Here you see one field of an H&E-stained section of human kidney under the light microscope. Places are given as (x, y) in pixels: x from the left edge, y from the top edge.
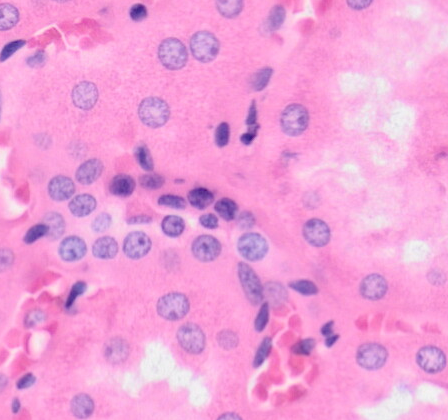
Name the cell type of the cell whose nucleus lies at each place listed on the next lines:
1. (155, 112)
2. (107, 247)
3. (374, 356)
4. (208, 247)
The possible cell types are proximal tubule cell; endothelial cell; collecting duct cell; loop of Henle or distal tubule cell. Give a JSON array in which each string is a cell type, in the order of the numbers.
["proximal tubule cell", "collecting duct cell", "proximal tubule cell", "collecting duct cell"]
